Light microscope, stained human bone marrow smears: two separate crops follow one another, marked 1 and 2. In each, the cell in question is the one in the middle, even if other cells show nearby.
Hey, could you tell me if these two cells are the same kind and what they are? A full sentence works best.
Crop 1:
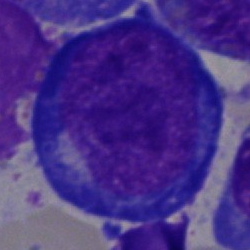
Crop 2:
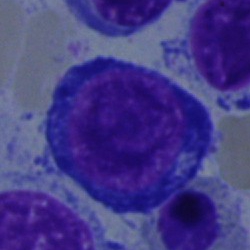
Yes, the cells at the centre of the two crops are both proerythroblasts.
